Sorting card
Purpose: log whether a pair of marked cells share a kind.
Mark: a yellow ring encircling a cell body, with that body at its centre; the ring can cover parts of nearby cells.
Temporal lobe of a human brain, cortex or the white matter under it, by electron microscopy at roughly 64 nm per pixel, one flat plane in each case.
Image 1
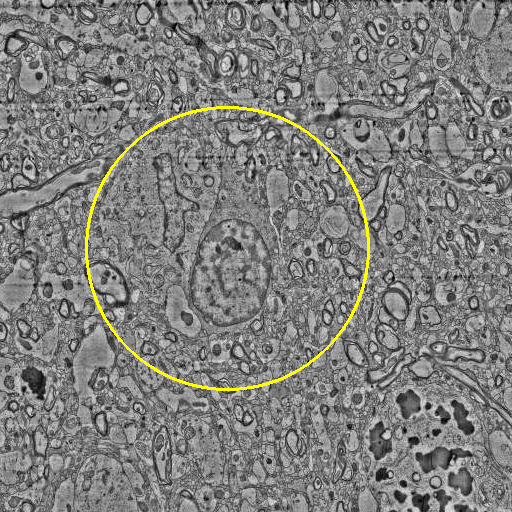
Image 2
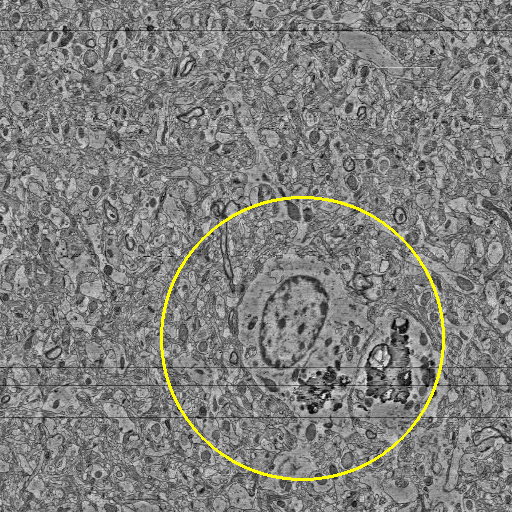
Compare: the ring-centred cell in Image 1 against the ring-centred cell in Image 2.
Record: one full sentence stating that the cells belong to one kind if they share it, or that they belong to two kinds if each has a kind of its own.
Across Images 1 and 2, the two ring-centred cells belong to two kinds.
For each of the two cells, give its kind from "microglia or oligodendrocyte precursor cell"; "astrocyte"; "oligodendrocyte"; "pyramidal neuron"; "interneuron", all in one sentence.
The first picture has an oligodendrocyte in its ring, the second has an astrocyte.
